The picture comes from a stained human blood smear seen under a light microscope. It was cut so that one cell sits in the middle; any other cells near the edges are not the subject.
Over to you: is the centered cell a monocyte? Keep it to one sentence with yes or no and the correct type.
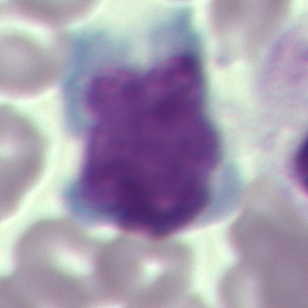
Yes, the cell that the crop is centred on is a monocyte.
